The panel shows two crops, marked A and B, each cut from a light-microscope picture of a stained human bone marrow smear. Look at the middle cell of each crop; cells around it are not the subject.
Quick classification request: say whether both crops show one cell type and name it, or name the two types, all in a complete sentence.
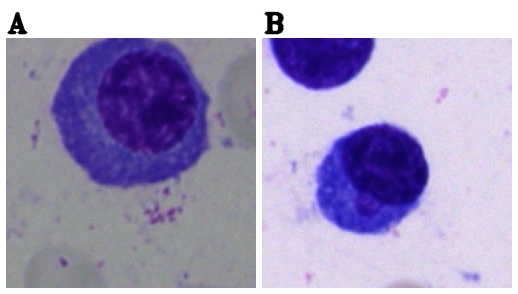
Yes, it is plasma cells that sit at the centre of both crops.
